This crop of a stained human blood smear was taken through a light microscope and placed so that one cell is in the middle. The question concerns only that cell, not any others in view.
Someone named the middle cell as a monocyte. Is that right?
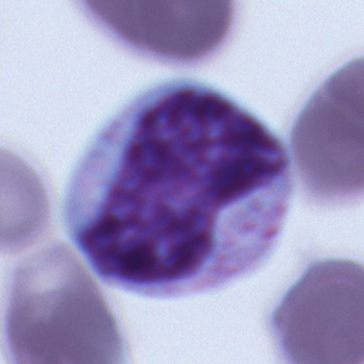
no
